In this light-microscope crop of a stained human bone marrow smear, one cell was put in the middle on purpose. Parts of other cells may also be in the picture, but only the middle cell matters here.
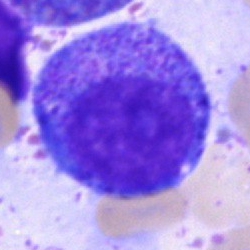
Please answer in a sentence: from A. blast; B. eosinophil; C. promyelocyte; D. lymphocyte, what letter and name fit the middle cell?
The right choice is option C: the cell in the middle is a promyelocyte.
